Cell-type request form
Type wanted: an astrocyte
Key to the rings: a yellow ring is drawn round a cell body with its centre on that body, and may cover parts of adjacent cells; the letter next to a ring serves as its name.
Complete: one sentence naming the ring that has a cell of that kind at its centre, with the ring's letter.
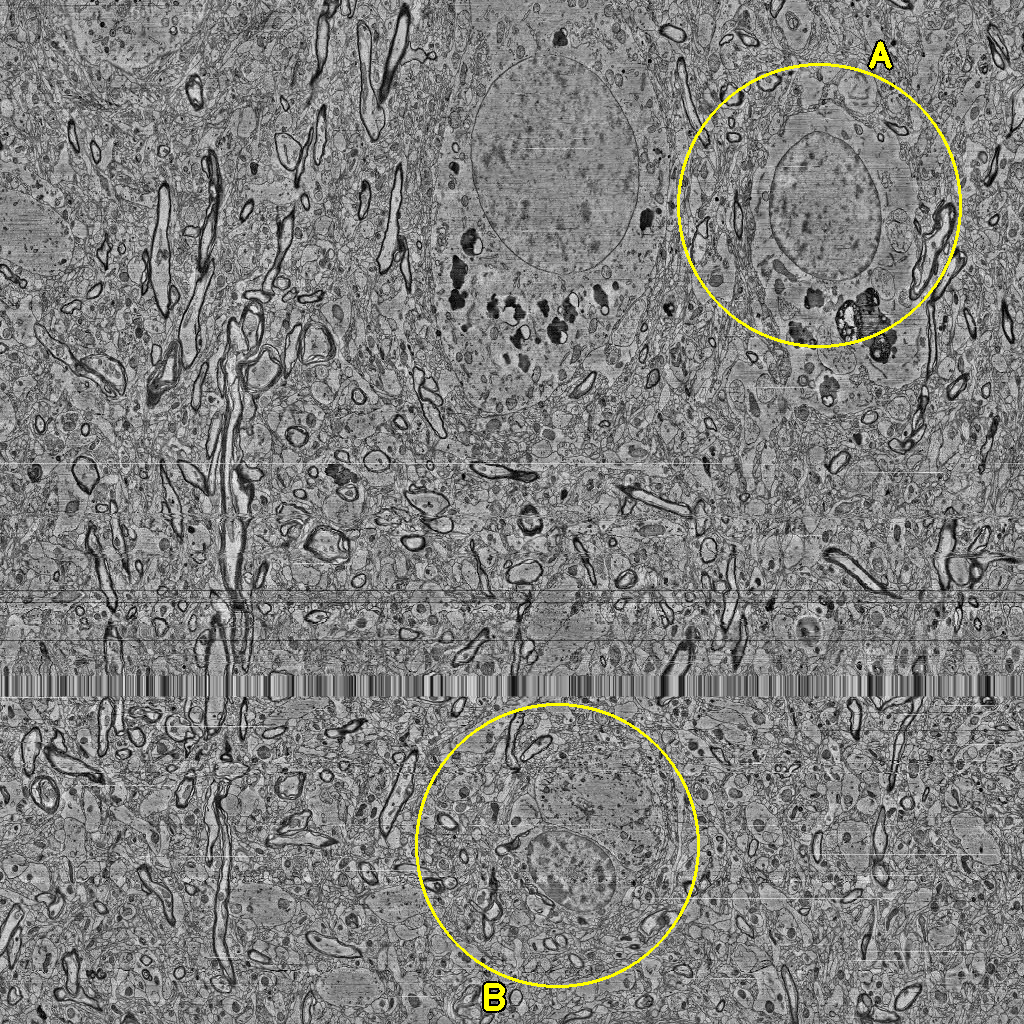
A cell of that kind sits at the centre of the ring labelled A.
